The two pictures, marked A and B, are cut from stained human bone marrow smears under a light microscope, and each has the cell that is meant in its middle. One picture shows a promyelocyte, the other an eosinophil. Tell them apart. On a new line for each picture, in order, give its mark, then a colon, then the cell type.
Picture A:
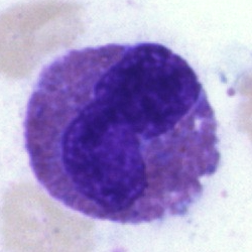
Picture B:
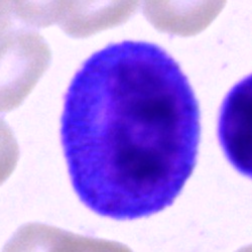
A: eosinophil
B: promyelocyte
